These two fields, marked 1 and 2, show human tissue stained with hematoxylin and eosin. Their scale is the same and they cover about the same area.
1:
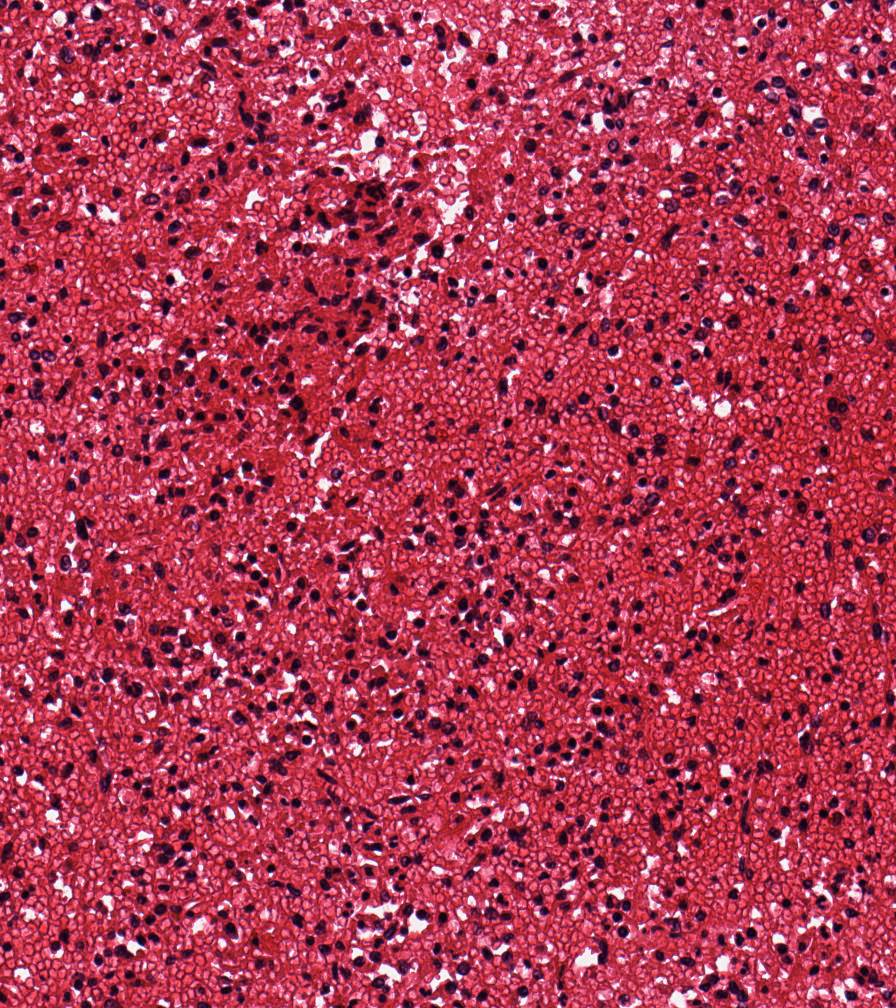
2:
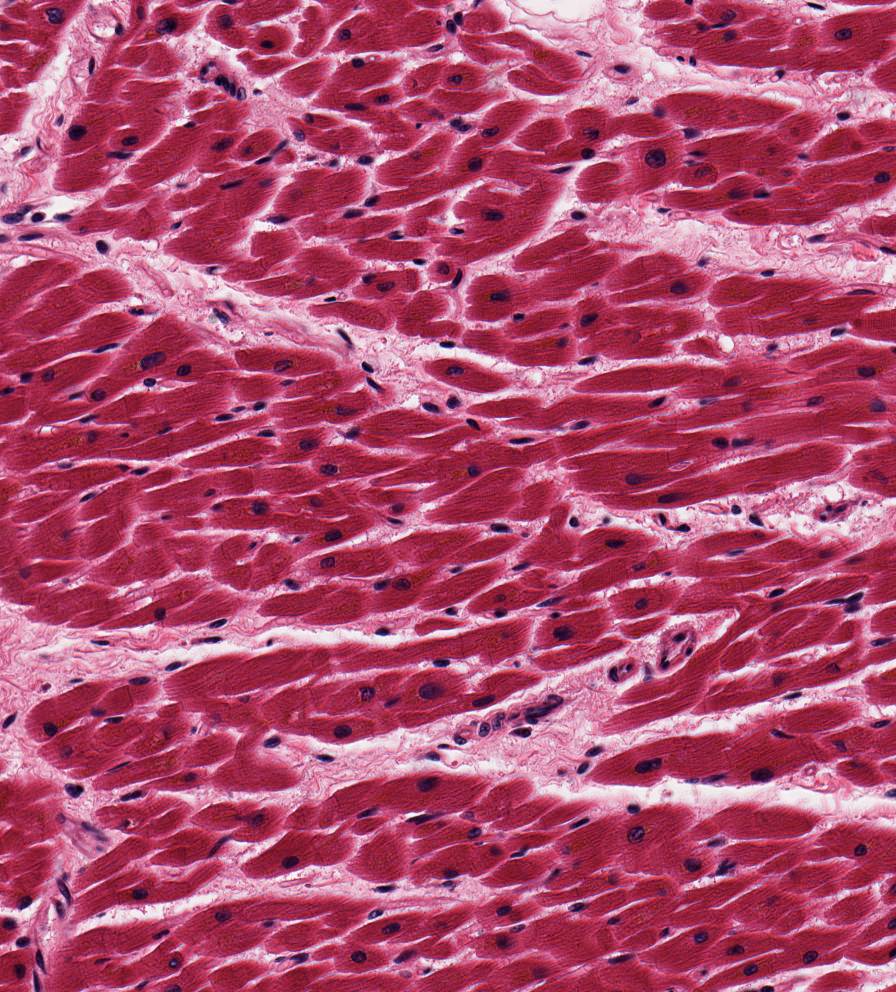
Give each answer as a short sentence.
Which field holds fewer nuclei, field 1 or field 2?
It is field 2 that has fewer nuclei in it.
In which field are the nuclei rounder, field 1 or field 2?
It is field 1 whose nuclei are the rounder.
